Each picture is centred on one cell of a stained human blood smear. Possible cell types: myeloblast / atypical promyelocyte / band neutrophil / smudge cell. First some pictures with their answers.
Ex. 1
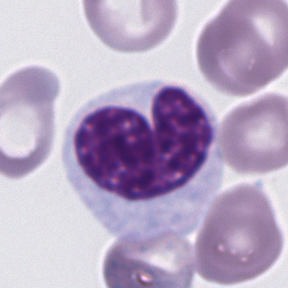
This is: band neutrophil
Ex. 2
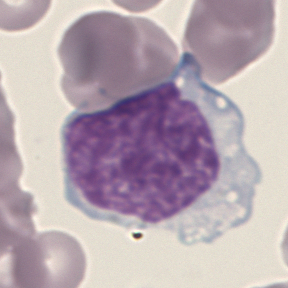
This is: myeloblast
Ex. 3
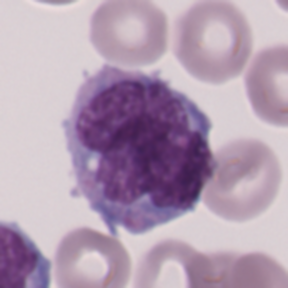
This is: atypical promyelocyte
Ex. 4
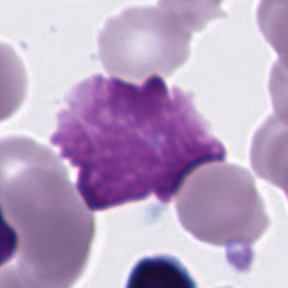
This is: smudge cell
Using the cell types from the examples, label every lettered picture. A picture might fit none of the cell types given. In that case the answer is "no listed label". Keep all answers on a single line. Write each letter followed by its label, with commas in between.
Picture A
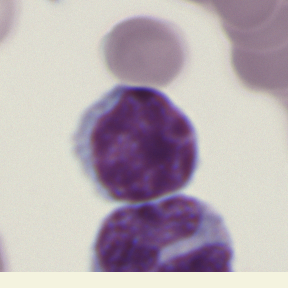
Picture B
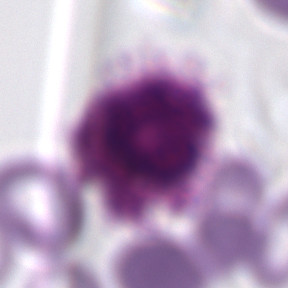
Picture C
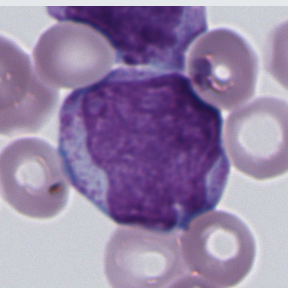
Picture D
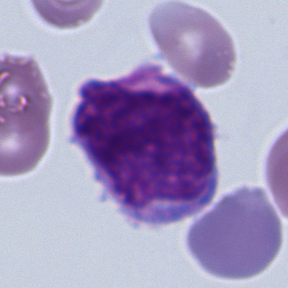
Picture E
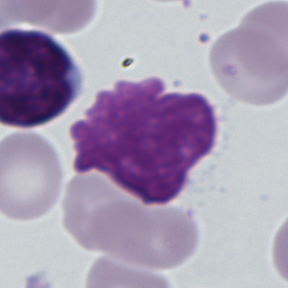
A no listed label, B smudge cell, C atypical promyelocyte, D atypical promyelocyte, E smudge cell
